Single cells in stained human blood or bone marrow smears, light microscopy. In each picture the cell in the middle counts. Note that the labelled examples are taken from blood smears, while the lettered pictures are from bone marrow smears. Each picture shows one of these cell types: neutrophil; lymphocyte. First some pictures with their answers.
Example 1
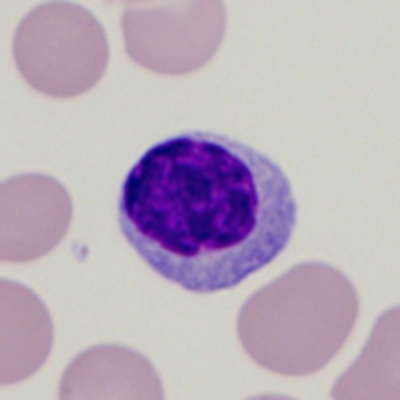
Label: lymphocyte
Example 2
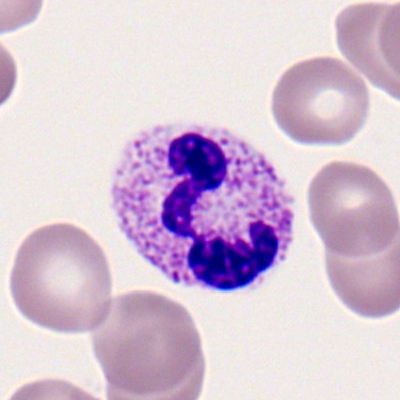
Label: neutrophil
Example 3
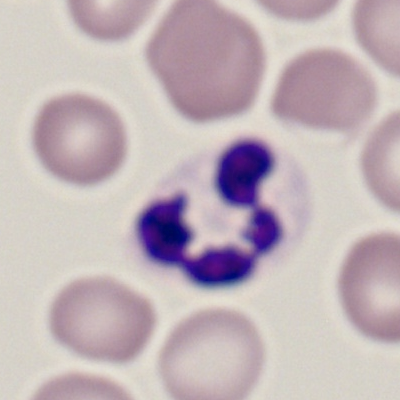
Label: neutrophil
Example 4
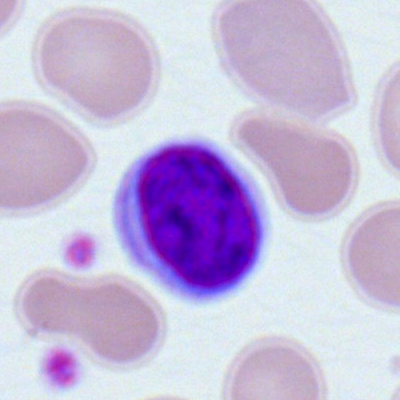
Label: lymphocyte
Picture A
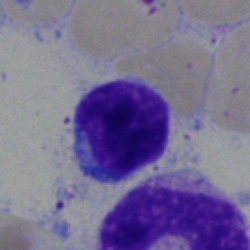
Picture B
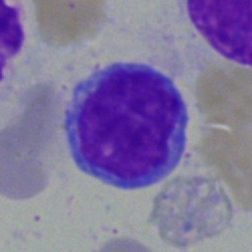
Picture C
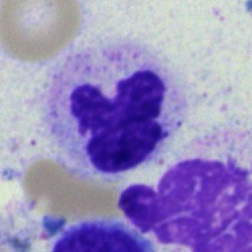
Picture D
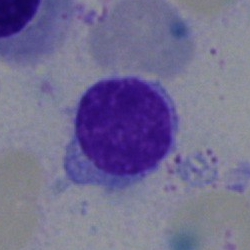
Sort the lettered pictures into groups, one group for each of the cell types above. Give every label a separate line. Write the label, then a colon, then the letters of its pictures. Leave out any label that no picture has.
neutrophil: C
lymphocyte: A, B, D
